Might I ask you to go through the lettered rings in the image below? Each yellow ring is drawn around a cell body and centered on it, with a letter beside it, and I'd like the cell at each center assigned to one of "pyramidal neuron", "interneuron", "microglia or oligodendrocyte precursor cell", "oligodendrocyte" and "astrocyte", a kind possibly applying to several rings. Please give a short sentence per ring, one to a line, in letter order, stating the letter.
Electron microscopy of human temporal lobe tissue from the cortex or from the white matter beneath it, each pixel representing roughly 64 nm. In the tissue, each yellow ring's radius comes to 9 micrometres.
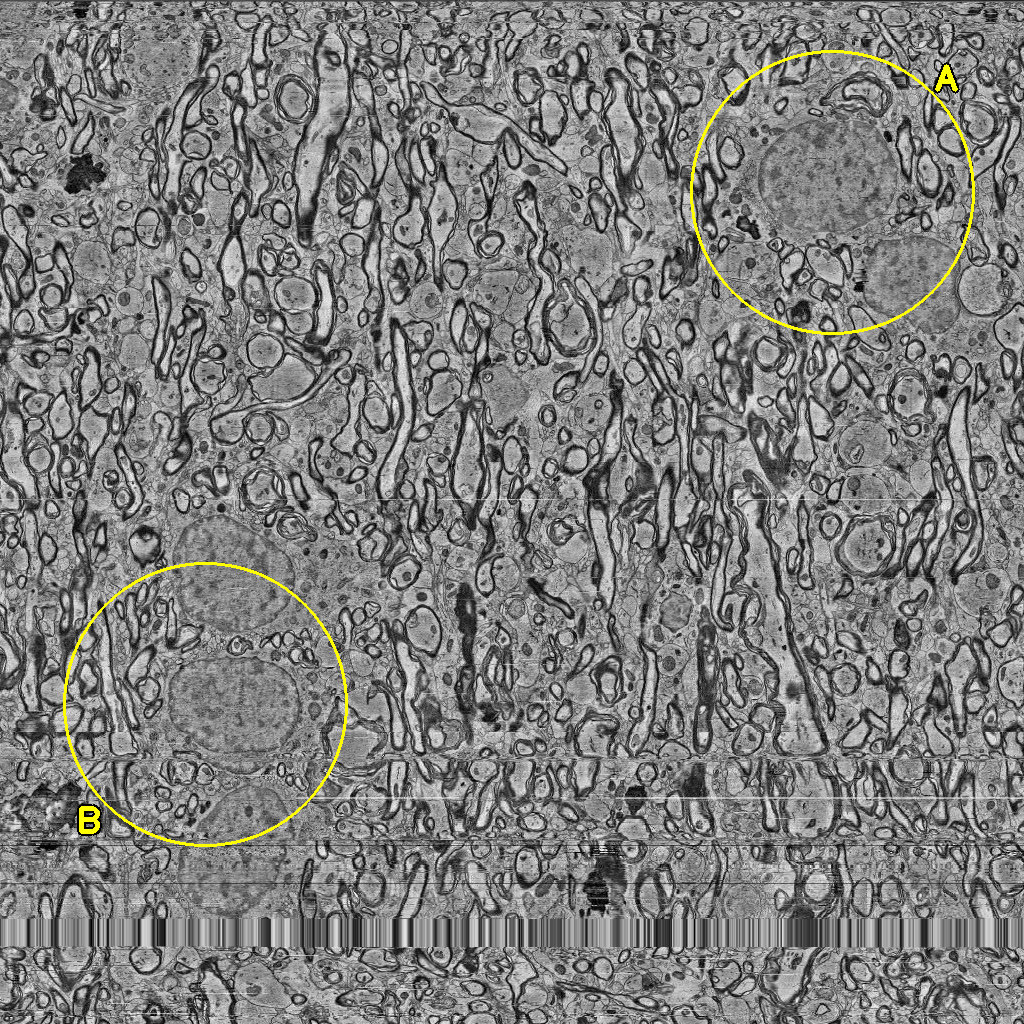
Ring A is centered on the body of an oligodendrocyte.
Ring B is centered on the body of an oligodendrocyte.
